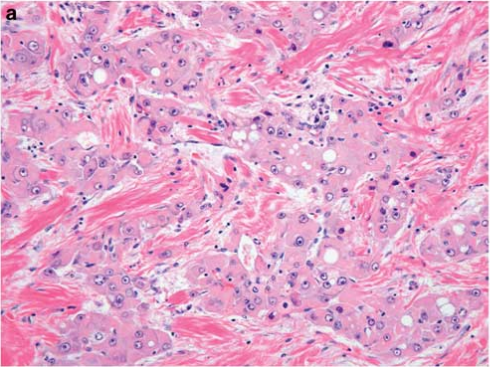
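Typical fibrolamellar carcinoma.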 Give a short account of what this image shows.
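Neoplastic cells, large and polygonal, with abundant pink cytoplasm, round nuclei with open chromatin and a single prominent nucleolus. They lie in cords and nests separated by dense pink bands of collagen, with a few clear round vacuoles in the cytoplasm and a small cluster of small dark inflammatory cells in the stroma.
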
